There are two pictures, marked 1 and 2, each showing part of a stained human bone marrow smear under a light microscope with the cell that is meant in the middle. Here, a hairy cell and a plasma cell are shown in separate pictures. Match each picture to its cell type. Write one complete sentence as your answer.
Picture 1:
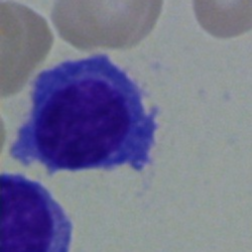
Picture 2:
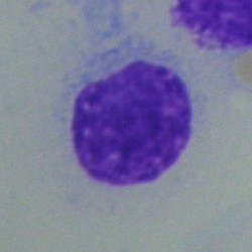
Picture 1 shows a plasma cell and picture 2 shows a hairy cell.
